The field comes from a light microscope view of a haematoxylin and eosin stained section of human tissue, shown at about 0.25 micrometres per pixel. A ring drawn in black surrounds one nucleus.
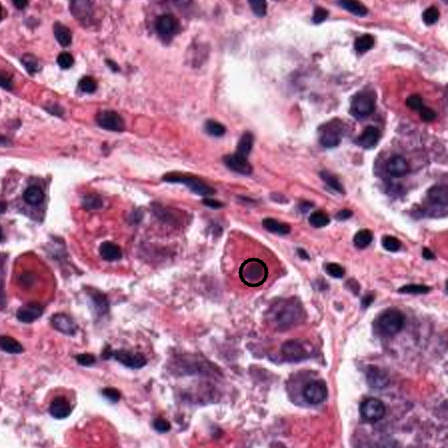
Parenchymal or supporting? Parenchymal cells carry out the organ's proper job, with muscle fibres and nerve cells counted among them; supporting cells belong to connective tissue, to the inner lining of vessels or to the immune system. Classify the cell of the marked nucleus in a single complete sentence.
In this section the marked nucleus belongs to a parenchymal cell, namely a parietal cell.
